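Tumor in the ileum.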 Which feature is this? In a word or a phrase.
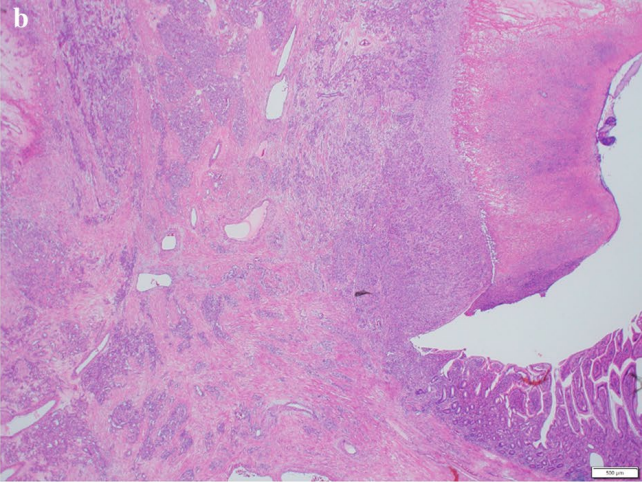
Lobulated lesions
